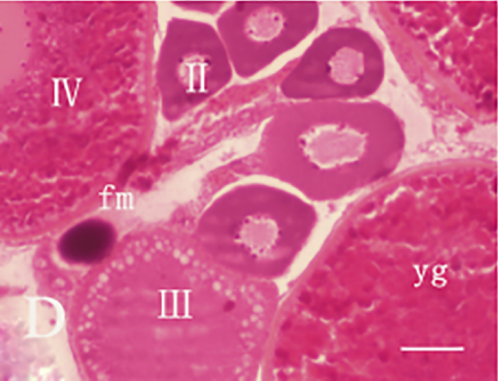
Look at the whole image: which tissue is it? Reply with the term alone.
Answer: Ovary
